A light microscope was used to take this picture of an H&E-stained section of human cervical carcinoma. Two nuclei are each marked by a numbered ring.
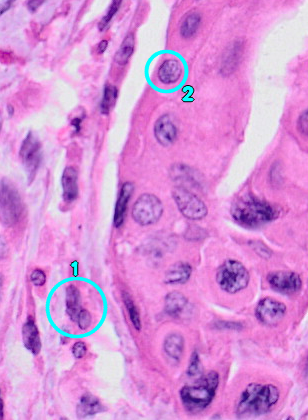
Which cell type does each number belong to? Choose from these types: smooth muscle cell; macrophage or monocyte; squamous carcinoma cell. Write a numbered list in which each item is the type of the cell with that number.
1. macrophage or monocyte
2. squamous carcinoma cell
